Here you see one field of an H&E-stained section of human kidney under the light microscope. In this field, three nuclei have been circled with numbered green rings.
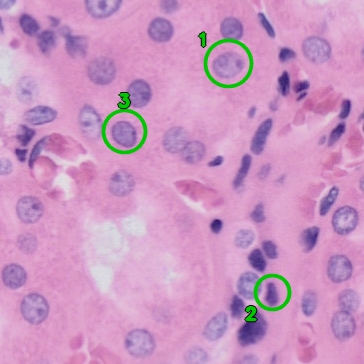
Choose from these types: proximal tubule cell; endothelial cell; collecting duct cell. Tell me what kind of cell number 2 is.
collecting duct cell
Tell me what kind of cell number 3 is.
proximal tubule cell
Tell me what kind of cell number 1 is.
proximal tubule cell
